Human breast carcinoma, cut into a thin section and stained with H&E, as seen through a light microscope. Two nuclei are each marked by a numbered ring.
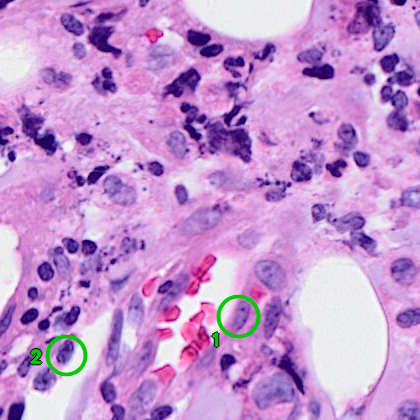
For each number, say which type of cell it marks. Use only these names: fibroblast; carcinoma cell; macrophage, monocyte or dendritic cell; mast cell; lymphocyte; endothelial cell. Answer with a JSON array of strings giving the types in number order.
["endothelial cell", "lymphocyte"]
